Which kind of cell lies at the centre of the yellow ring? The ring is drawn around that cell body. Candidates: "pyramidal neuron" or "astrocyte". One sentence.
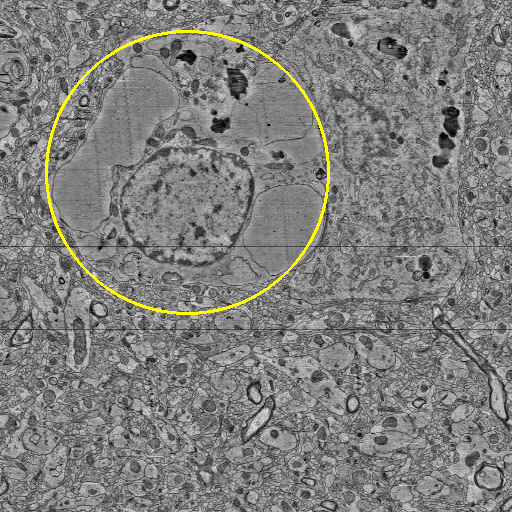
Lying at the centre of the ring is an astrocyte.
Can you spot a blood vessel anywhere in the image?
Yes, there is a blood vessel in the image.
